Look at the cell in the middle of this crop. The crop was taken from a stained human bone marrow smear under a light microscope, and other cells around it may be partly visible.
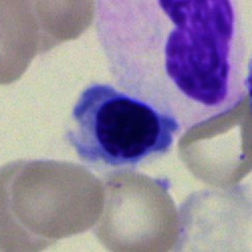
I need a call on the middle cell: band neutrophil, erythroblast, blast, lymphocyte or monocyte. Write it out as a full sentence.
The middle position in this crop is taken by an erythroblast.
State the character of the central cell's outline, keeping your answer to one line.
The contour of the cell is interrupted by ragged areas or by projections.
